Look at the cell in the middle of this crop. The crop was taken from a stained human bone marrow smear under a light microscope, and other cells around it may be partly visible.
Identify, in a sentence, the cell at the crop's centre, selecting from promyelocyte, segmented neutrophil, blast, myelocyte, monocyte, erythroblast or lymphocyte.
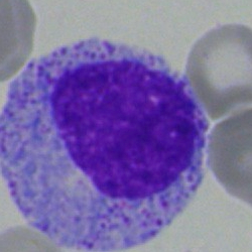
The cell that lies at the centre of the crop is a myelocyte.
